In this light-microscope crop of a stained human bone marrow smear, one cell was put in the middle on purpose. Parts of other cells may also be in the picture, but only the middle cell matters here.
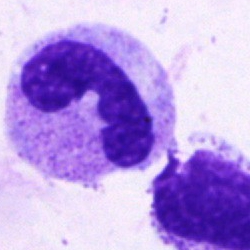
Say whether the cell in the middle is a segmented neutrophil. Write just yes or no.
yes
